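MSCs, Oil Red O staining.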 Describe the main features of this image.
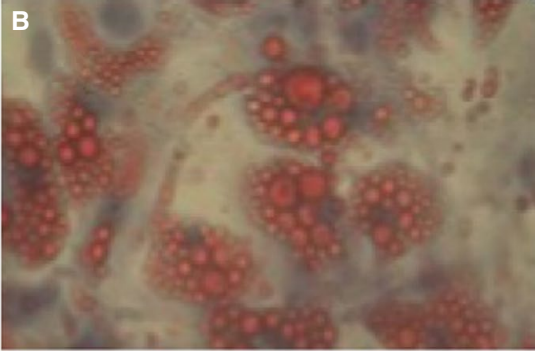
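In each cell the droplets lie packed together, a few large ones among many smaller ones, giving the cells a bunched, grape-like look. Between the fat-laden cells lie paler, flatter cells with bluish-grey outlines and no red droplets.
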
